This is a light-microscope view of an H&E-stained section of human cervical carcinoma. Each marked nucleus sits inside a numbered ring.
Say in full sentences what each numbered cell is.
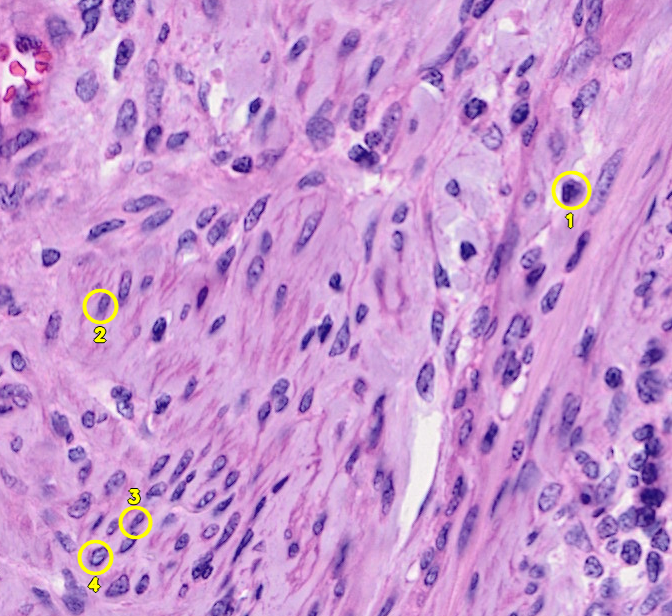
Cell 1 is a lymphocyte. Cells 2, 3 and 4 are smooth muscle cells.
